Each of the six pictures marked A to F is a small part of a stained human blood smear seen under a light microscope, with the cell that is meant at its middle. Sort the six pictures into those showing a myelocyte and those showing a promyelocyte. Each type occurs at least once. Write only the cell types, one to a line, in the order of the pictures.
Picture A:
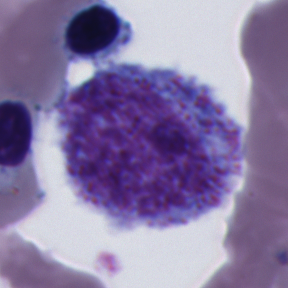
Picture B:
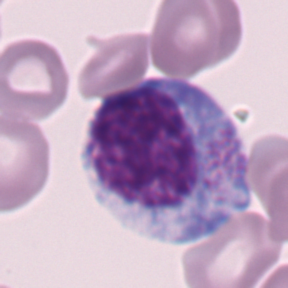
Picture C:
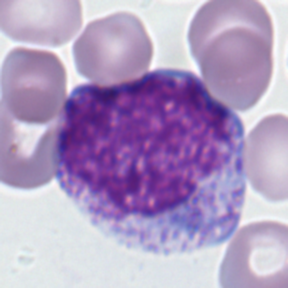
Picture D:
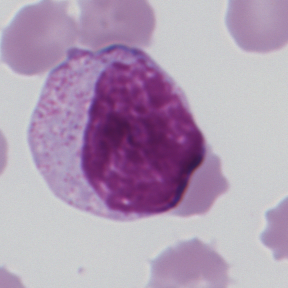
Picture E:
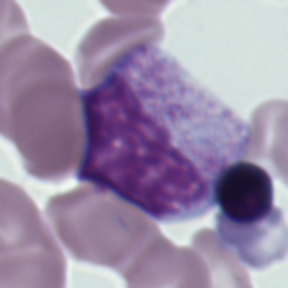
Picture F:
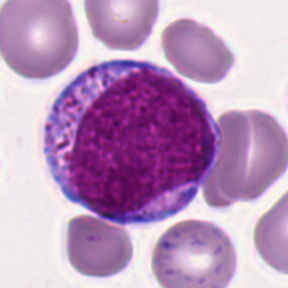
promyelocyte
myelocyte
myelocyte
myelocyte
promyelocyte
promyelocyte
